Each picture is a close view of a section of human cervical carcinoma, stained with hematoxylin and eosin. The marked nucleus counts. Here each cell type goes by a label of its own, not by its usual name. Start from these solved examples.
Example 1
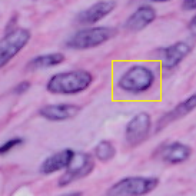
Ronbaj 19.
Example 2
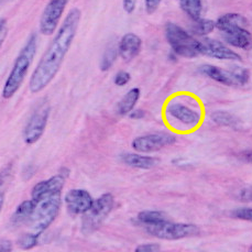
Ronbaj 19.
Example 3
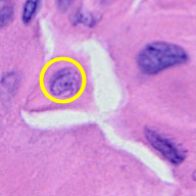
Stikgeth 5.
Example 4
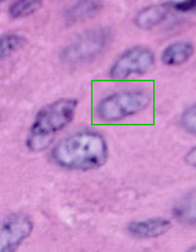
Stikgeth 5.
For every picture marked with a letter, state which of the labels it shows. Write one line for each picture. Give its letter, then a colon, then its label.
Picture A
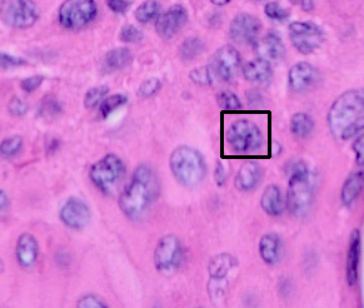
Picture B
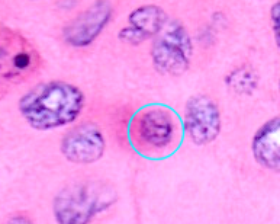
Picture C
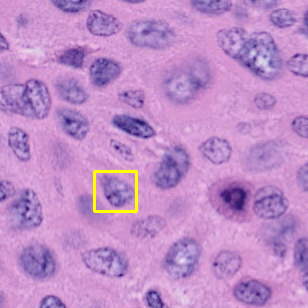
A: Stikgeth 5.
B: Stikgeth 5.
C: Stikgeth 5.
